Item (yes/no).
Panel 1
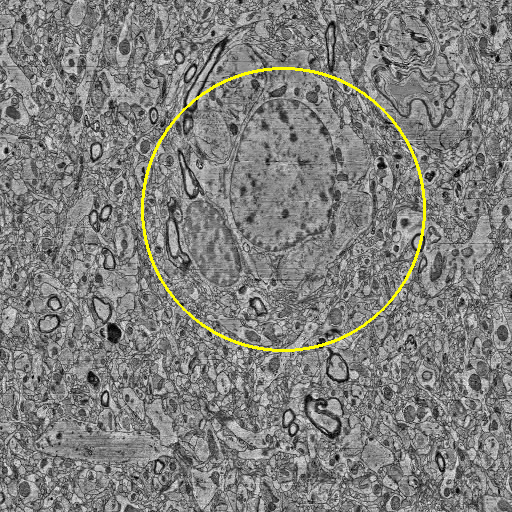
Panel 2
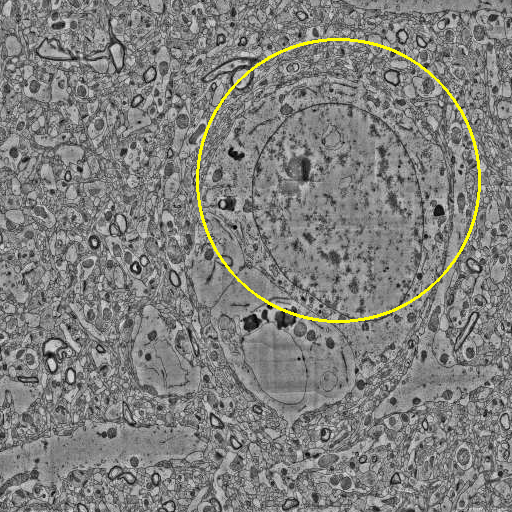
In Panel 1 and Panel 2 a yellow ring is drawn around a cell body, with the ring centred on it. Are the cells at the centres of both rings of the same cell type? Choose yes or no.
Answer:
no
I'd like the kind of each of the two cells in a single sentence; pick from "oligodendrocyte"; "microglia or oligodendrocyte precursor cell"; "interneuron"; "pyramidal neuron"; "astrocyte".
The first ring marks an astrocyte, and the second ring marks a pyramidal neuron.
